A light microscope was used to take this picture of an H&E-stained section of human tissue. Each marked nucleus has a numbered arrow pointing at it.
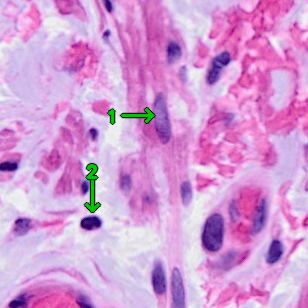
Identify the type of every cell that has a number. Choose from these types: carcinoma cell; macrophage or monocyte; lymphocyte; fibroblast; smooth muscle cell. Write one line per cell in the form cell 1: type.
cell 1: smooth muscle cell
cell 2: lymphocyte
